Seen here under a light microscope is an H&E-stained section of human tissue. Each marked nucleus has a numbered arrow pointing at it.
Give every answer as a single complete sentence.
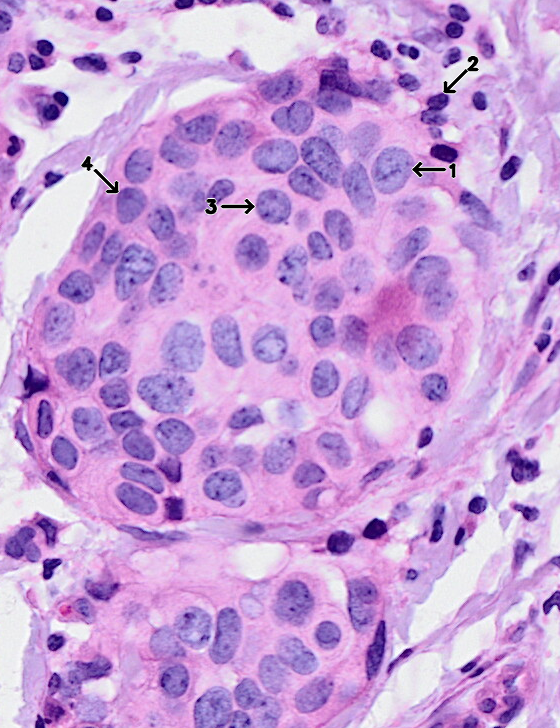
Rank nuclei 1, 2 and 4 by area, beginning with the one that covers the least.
The order from the smallest nucleus to the largest is 2, 4, 1.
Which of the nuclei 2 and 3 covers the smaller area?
With nucleus 3 about 4 times its size, nucleus 2 is the smaller of the two.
